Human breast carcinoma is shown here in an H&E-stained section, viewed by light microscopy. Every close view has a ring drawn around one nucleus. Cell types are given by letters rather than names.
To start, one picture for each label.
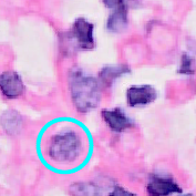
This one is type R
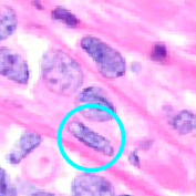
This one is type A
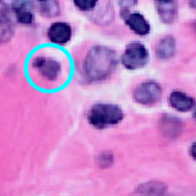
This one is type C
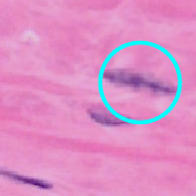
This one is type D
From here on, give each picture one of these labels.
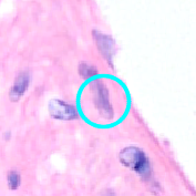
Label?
type A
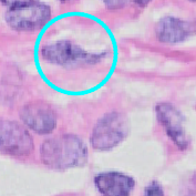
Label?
type D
